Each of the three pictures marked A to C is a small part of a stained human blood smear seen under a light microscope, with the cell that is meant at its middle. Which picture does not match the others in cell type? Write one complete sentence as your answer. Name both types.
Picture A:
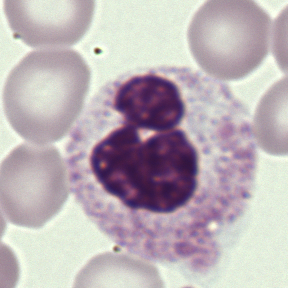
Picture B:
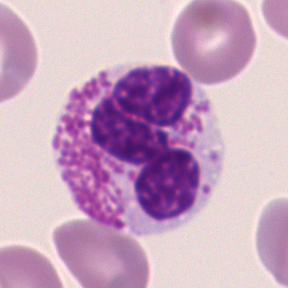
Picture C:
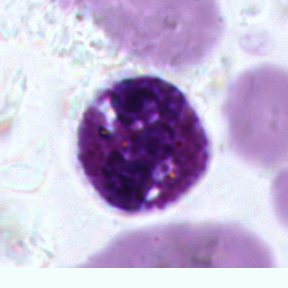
The different one is picture A; it shows a segmented neutrophil, whereas all the others show eosinophils.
